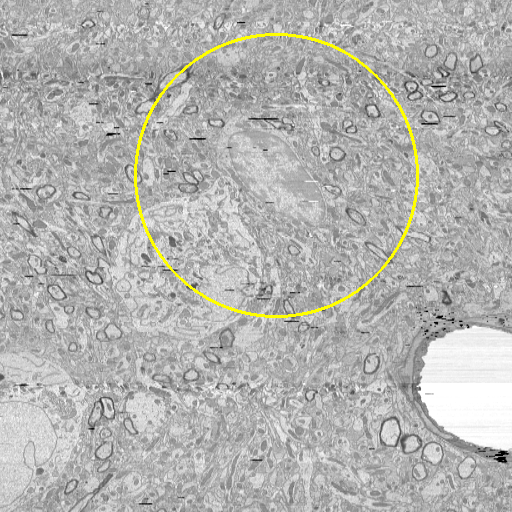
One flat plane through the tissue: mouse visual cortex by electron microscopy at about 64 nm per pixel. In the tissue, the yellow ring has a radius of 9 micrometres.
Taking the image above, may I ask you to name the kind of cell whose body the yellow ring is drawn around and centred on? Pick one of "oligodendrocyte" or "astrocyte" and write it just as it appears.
oligodendrocyte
